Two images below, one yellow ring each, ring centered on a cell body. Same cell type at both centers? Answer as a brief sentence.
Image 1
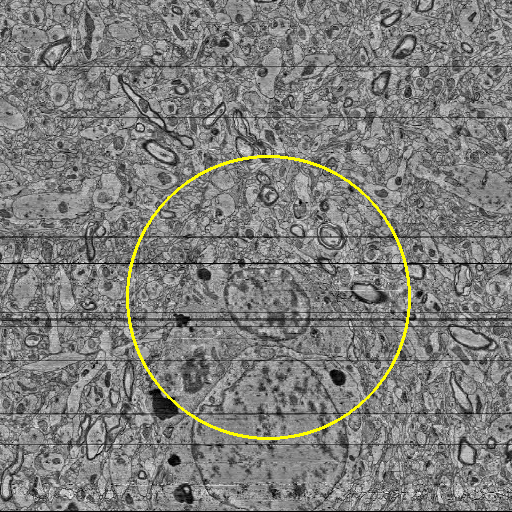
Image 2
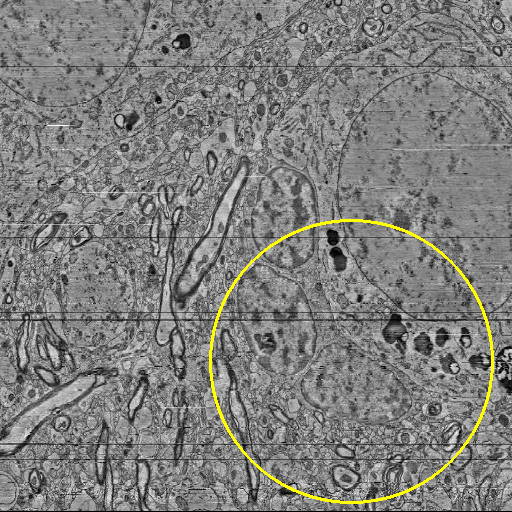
Yes, both cells are of the same type.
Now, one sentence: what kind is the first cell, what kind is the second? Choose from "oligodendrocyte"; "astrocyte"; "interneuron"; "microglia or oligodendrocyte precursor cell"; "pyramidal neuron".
Each cell at the centre of a ring is an oligodendrocyte.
